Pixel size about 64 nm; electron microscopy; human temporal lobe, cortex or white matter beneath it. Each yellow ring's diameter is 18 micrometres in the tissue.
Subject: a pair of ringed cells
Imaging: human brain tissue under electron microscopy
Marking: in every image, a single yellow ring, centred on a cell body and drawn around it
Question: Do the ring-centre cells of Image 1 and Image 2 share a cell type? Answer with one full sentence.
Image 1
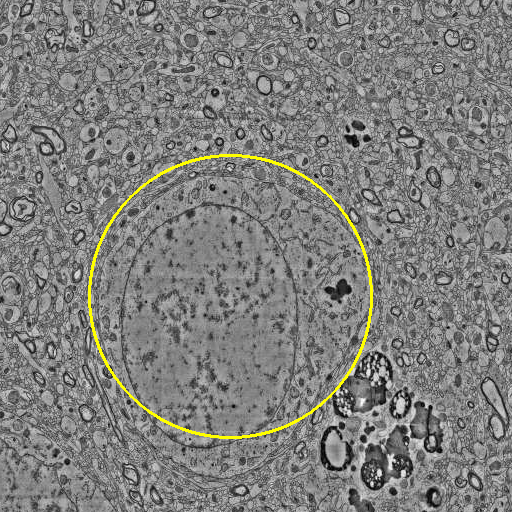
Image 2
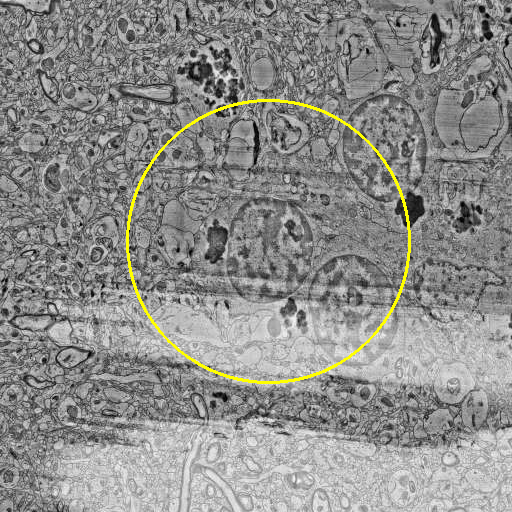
No, at the ring centres in the images sit cells of two separate types.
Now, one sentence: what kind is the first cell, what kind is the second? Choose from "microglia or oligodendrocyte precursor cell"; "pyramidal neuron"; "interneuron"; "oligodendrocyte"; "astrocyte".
The first picture has a pyramidal neuron at its ring centre, and the second has an oligodendrocyte.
